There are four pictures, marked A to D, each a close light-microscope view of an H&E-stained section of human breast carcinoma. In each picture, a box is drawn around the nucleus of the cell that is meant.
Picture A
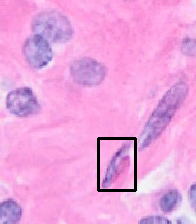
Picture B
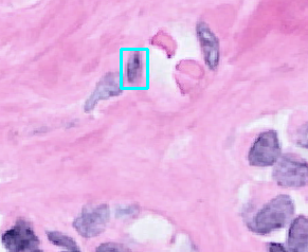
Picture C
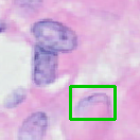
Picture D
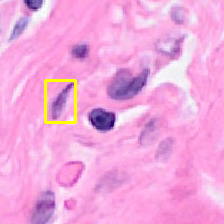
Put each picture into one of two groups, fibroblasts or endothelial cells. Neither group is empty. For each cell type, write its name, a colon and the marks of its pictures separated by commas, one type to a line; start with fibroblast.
fibroblast: C, D
endothelial cell: A, B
